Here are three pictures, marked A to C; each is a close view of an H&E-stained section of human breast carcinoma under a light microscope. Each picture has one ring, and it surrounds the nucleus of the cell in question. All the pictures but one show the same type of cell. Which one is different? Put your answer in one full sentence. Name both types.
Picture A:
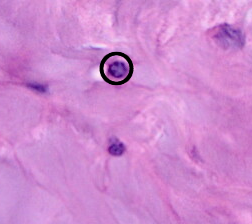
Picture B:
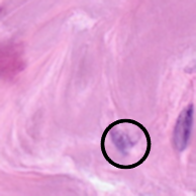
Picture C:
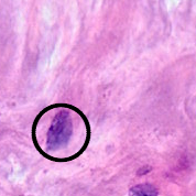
The different one is picture A; it shows a mast cell, whereas all the others show fibroblasts.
